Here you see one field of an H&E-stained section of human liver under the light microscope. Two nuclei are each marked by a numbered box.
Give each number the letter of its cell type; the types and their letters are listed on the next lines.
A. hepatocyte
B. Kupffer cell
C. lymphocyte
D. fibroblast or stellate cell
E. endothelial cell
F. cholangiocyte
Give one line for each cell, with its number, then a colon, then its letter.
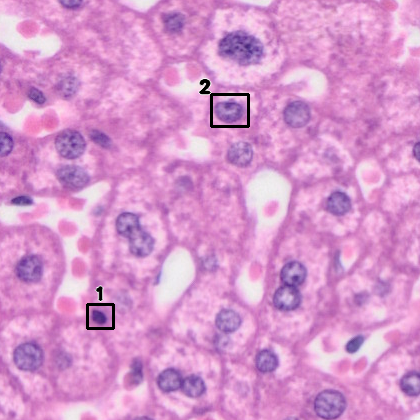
1: D
2: A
